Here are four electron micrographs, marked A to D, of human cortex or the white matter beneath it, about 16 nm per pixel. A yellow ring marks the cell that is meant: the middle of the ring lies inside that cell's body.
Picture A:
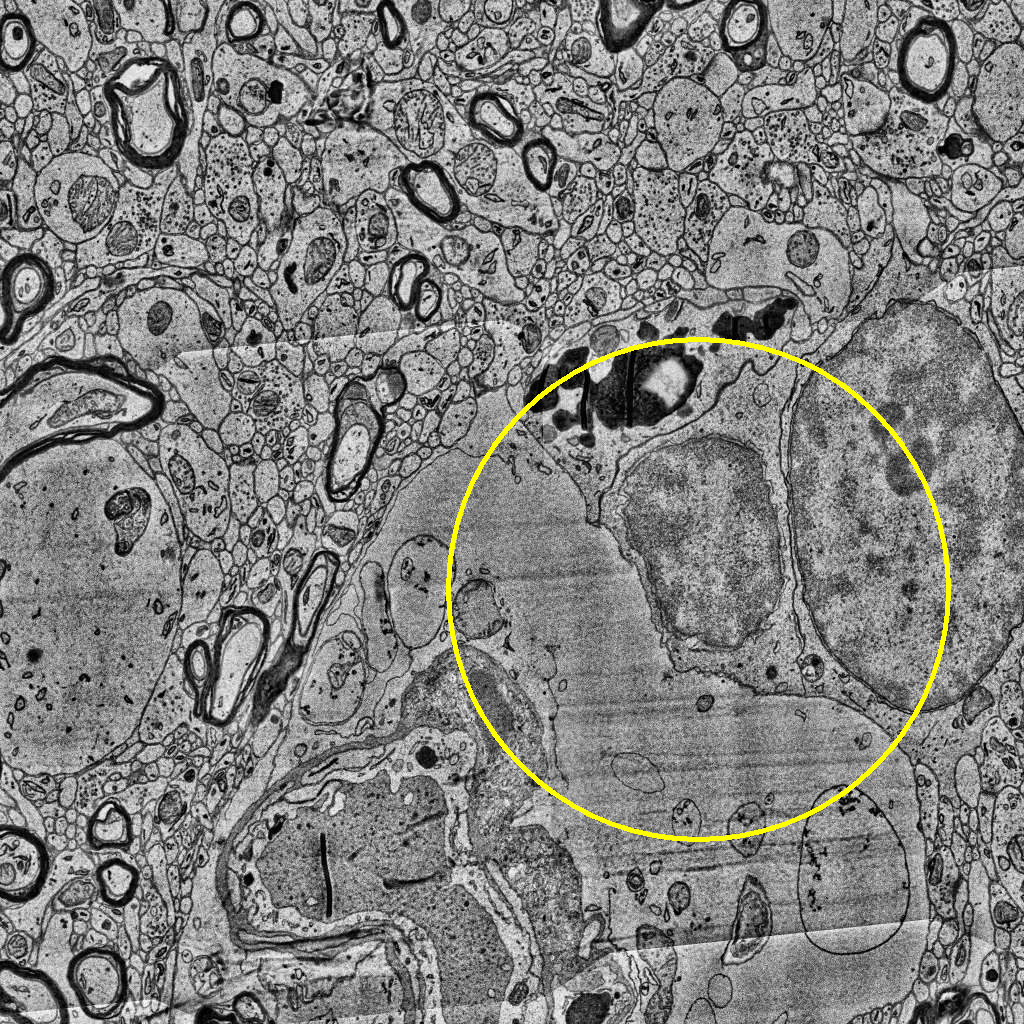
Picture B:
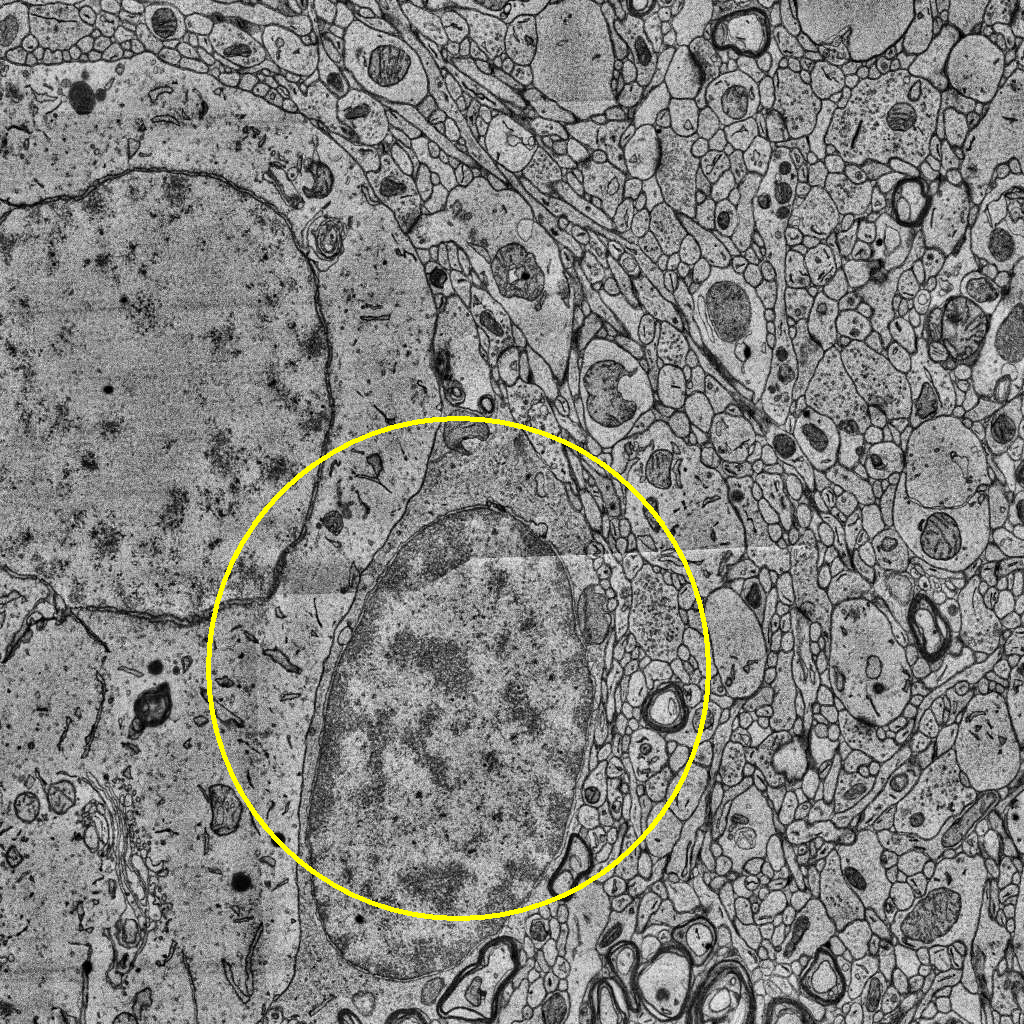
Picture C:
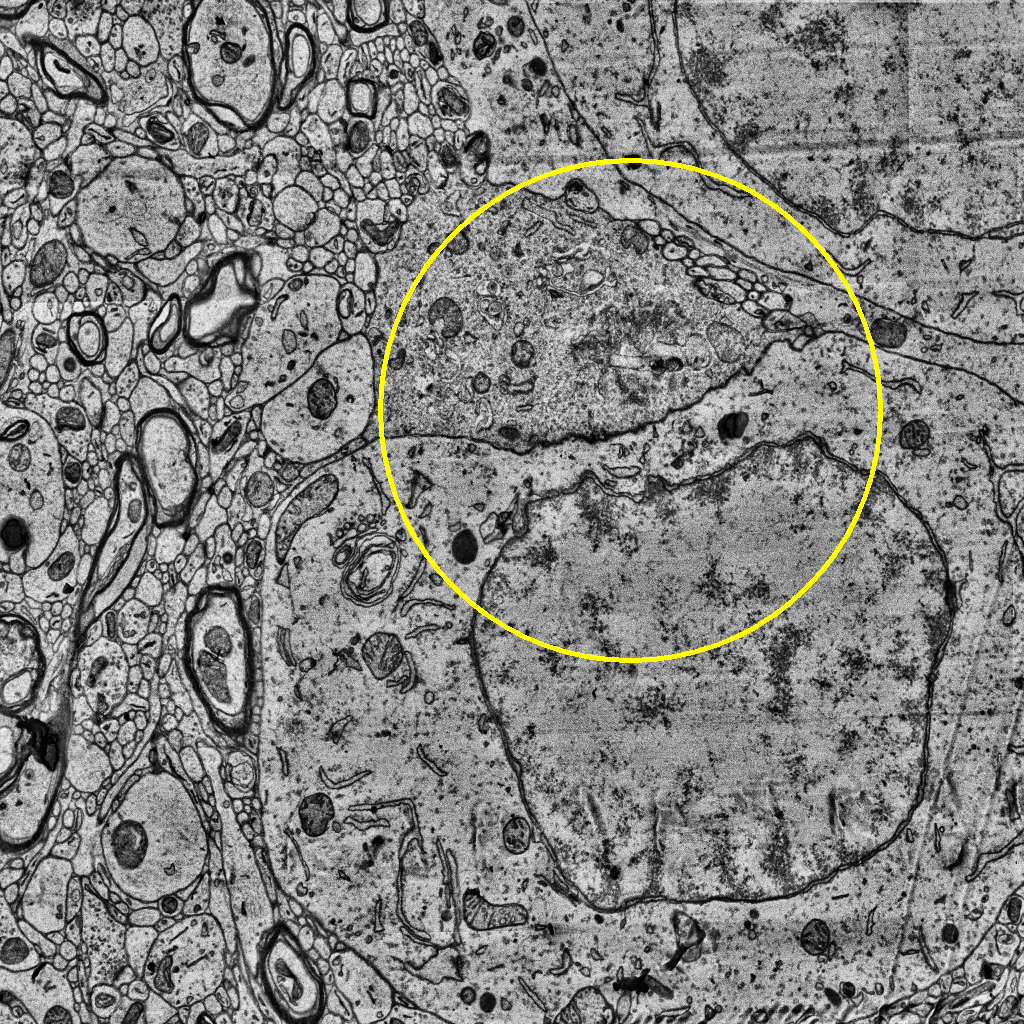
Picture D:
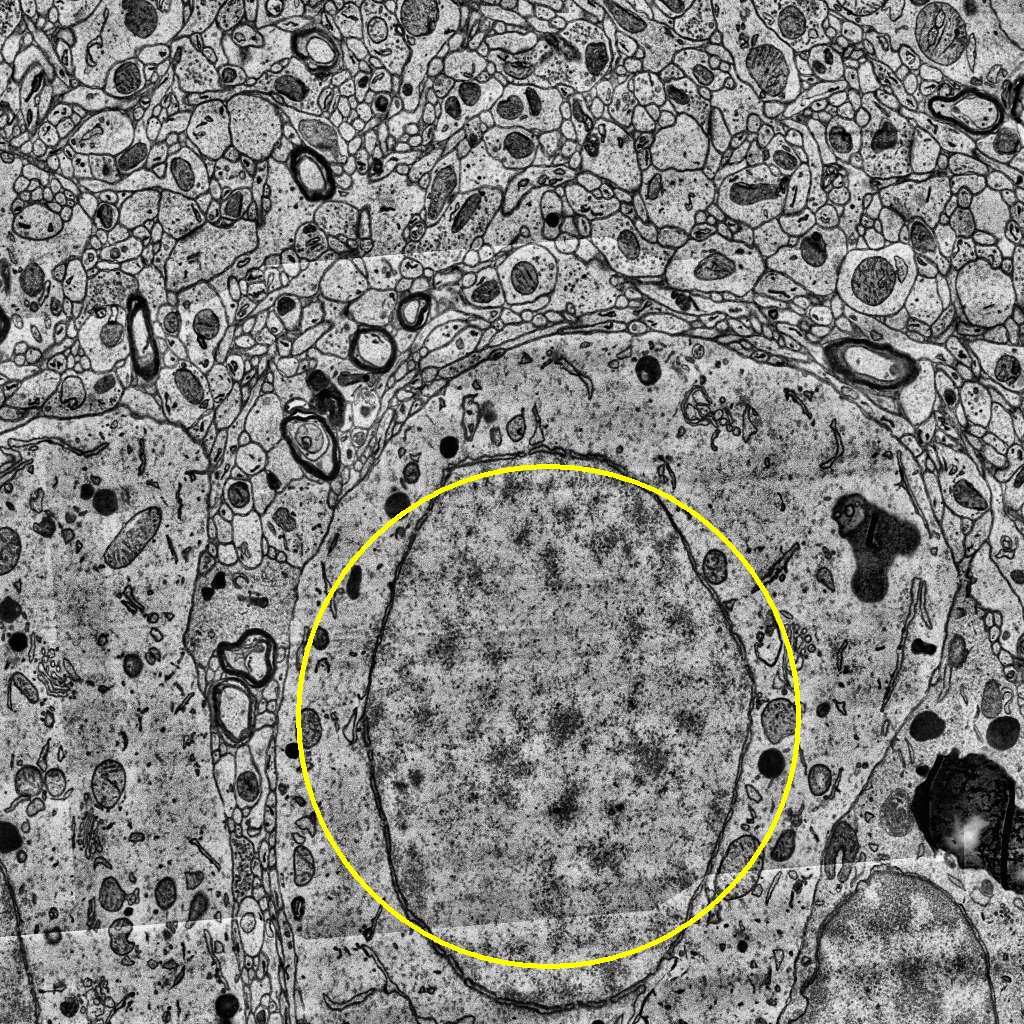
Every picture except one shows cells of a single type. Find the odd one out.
All pictures except D show oligodendrocytes; picture D shows a pyramidal neuron.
